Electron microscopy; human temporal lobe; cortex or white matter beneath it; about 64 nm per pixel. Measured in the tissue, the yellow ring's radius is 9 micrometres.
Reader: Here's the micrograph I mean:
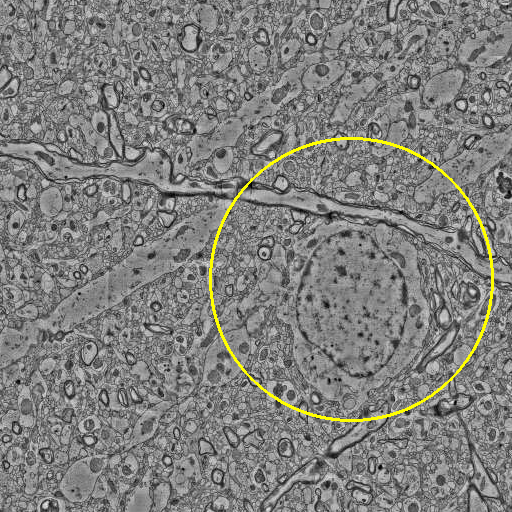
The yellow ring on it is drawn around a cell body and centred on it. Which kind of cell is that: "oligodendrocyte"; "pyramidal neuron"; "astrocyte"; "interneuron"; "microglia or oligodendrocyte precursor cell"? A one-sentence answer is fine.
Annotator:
The ring is centred on an astrocyte.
